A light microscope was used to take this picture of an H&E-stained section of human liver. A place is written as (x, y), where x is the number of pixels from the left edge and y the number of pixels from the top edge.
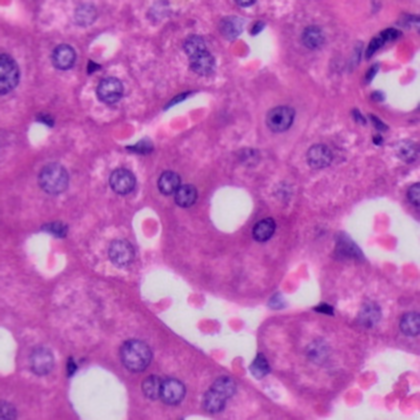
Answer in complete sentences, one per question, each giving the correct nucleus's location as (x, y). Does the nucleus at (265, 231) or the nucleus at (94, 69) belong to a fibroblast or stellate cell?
It is the nucleus at (94, 69) that belongs to a fibroblast or stellate cell.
